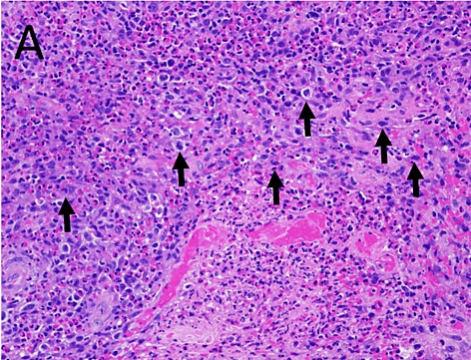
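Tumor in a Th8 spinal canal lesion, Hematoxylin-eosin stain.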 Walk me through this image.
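A dense mixed infiltrate of small dark round cells fills the field, and among them lie scattered large atypical cells with enlarged nuclei, several surrounded by a clear halo. Pink strands of collagen-like stroma and small vessels run through the lower centre of the field.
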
